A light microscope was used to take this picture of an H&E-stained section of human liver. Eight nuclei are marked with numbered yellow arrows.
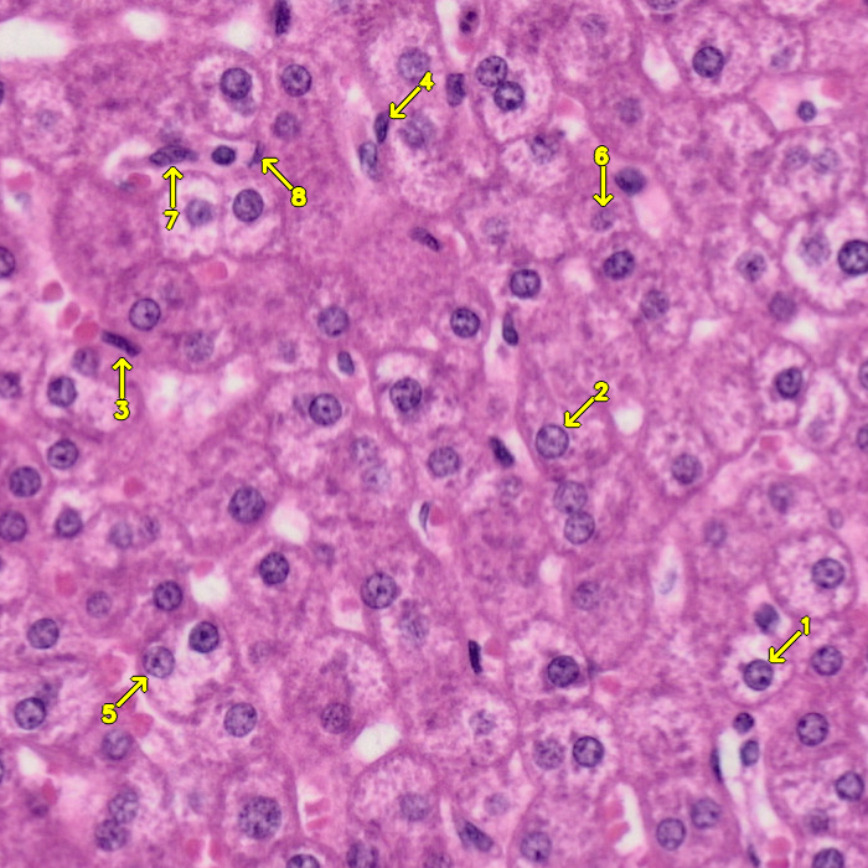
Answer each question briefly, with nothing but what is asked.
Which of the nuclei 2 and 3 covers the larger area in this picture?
2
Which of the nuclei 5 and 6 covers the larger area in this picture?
5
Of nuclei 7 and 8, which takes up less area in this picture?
8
